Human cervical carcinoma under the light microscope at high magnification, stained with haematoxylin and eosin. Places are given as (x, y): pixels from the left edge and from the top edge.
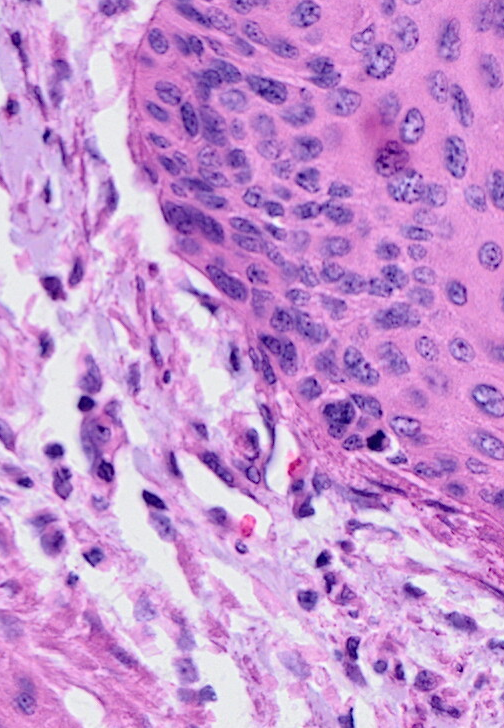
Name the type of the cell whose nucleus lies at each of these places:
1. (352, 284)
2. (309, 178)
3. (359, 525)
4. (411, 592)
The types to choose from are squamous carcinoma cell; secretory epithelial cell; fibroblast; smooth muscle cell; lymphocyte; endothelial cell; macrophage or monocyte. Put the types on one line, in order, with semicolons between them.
squamous carcinoma cell; squamous carcinoma cell; fibroblast; fibroblast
